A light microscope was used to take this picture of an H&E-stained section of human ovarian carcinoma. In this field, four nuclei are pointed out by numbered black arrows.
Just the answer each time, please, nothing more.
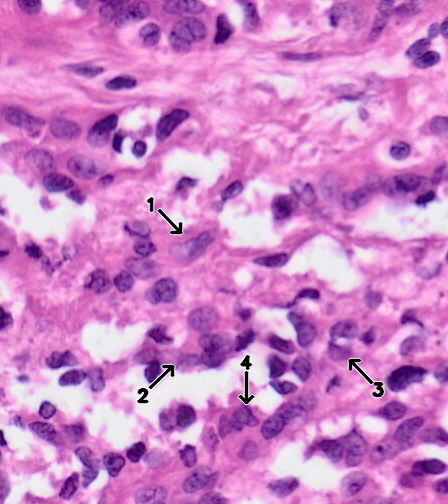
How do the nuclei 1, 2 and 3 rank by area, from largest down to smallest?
1, 3, 2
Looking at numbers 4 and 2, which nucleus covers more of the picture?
4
